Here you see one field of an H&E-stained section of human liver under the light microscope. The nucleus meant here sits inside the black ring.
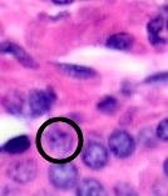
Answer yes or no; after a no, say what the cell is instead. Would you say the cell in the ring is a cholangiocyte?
Yes.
